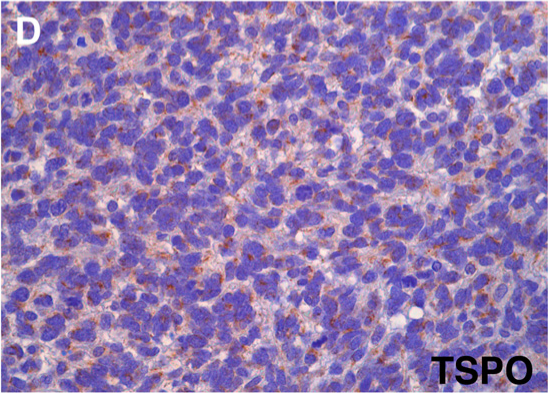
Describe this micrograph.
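Tumor tissue made of a dense, disorganized sheet of crowded cells with oval to irregular, blue, hyperchromatic nuclei and scant cytoplasm. Fine brown granules lie in the thin rims of cytoplasm around many nuclei. Pale pink fibrillar material fills the narrow spaces between the cells.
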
